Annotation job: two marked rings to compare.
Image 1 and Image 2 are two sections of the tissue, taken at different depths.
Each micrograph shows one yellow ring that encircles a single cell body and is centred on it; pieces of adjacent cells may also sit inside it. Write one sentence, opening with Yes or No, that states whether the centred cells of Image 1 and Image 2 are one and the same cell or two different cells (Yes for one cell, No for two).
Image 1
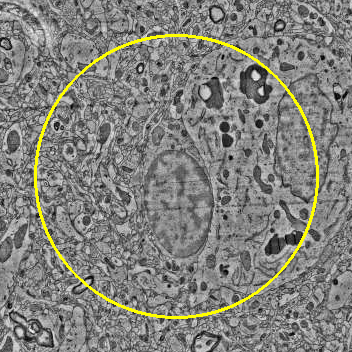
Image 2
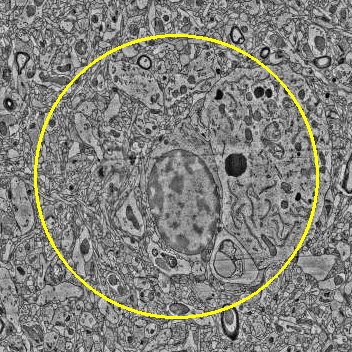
Yes, both rings are placed on a single cell.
